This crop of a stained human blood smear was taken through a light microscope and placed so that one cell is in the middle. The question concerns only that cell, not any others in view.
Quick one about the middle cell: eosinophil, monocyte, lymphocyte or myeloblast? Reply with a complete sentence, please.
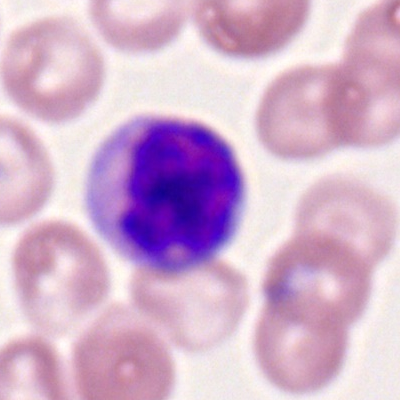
Seen at the centre of the crop is a lymphocyte.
